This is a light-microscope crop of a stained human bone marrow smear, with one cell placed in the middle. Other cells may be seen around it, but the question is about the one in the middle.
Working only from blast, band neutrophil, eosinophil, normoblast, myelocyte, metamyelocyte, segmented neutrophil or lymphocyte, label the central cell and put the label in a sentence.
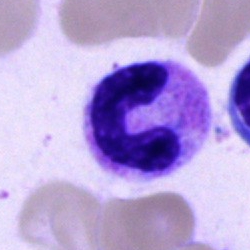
The cell the crop is centered on is a band neutrophil.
